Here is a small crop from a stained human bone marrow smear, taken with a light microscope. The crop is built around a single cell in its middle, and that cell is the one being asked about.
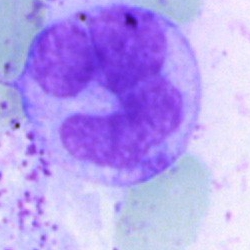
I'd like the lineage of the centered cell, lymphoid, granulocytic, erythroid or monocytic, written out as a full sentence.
The cell in the middle falls under the monocytic lineage.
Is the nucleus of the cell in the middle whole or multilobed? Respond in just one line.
Counting the nuclear lobes gives a total of at least two.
